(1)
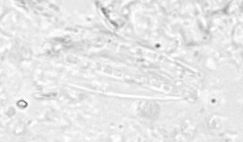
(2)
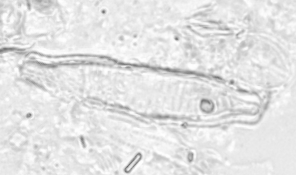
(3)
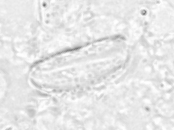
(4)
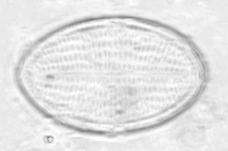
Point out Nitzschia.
That is picture 1.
